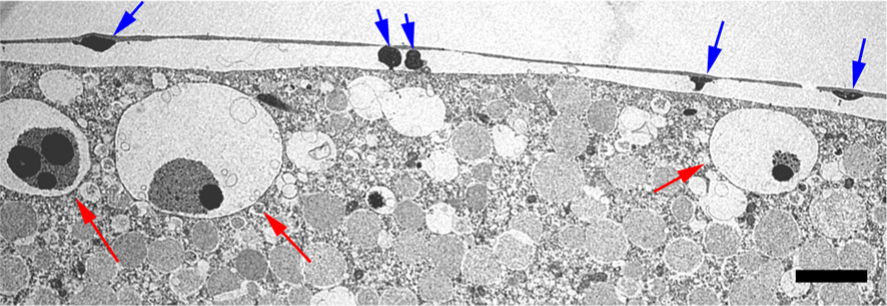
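This electron micrograph shows the cortex of an egg. Above the egg surface a thin dark outer layer has lifted away, leaving a wide pale perivitelline space; small dark dense bodies, remnants of extruded cortical granules, lie in this space and against the lifted layer. No dense granules remain lined up just under the surface. Deeper in the cytoplasm many round, moderately grey granules are packed together, and among them lie several large pale vesicles. Inside some of these pale vesicles are dark, dense fragments of cortical granules, appearing as if engulfed by the vesicles.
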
